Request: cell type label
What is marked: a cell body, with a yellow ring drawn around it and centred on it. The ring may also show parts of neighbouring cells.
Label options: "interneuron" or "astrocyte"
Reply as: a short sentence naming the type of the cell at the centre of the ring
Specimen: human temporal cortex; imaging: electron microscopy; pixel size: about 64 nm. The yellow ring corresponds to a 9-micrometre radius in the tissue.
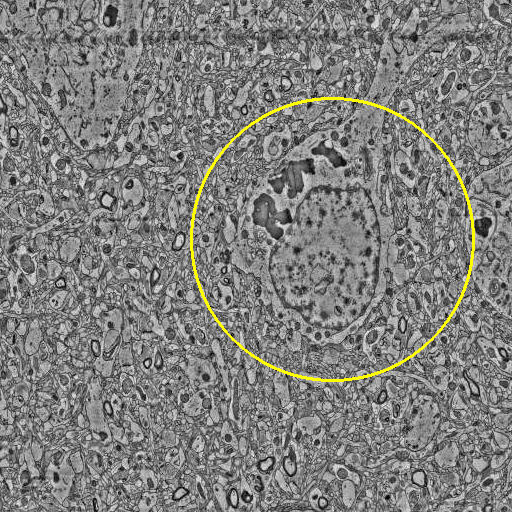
The marked cell body is that of an interneuron.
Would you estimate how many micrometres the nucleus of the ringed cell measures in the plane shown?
Roughly 9 micrometres by 7 micrometres, in this plane.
